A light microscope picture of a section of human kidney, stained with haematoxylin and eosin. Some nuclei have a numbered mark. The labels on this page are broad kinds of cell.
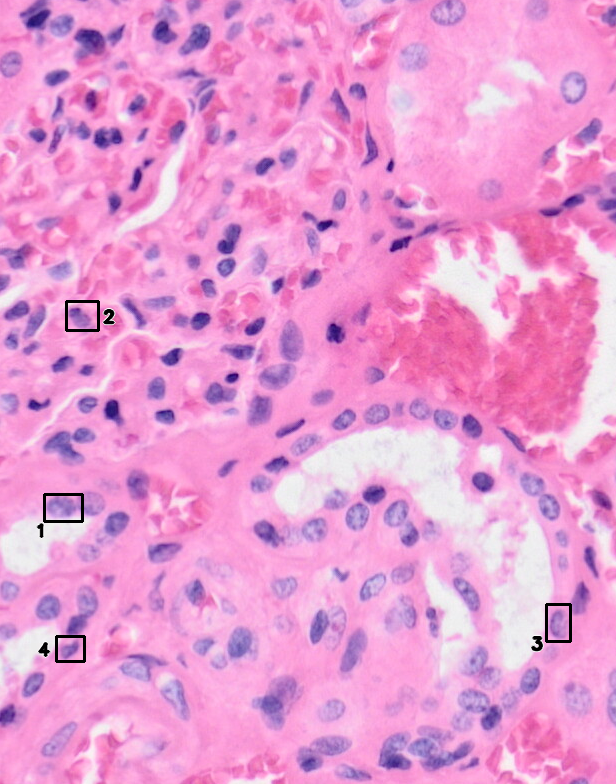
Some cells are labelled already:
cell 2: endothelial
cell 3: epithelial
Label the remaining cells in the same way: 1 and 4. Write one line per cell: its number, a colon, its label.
1: epithelial
4: epithelial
